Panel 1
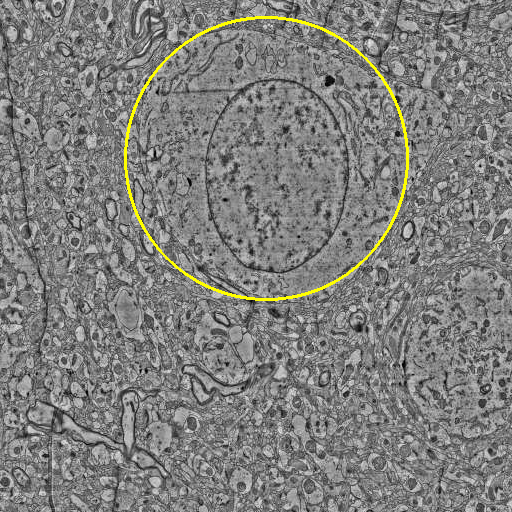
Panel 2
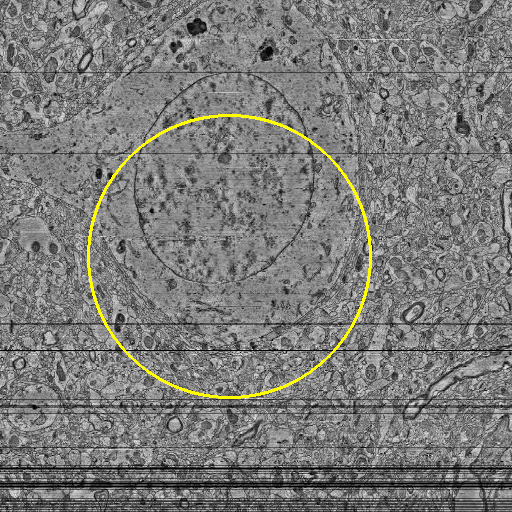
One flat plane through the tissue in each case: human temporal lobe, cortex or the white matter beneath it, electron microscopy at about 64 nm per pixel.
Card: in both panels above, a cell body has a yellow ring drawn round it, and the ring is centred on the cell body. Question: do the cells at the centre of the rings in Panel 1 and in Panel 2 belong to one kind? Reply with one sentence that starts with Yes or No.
Yes, the cells centred in the rings of Panel 1 and Panel 2 are one kind of cell.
